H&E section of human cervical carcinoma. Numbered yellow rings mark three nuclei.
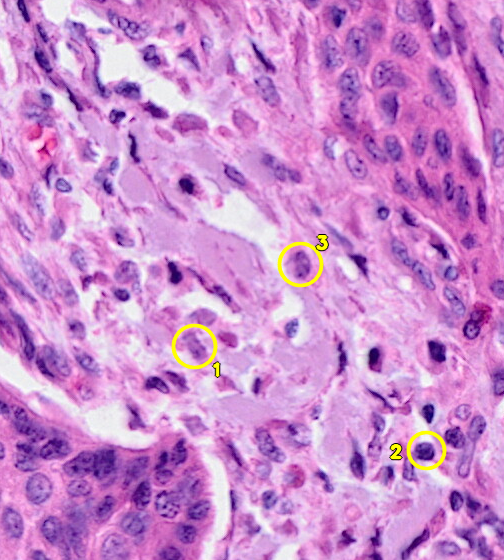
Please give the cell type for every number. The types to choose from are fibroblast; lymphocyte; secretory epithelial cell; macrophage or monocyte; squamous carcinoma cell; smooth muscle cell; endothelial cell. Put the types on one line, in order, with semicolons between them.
fibroblast; lymphocyte; macrophage or monocyte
